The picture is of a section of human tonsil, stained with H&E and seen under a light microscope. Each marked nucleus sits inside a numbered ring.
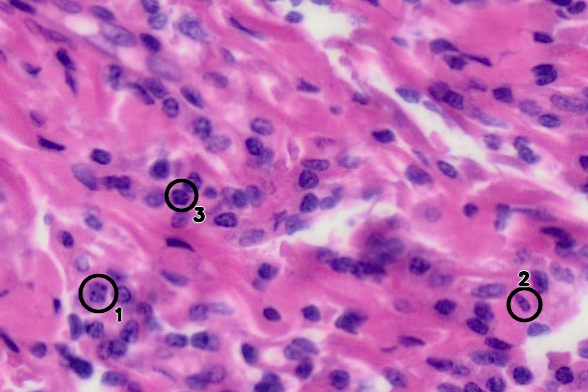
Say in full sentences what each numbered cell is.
Cells 1 and 3 are plasma cells. Cell 2 is a mast cell.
